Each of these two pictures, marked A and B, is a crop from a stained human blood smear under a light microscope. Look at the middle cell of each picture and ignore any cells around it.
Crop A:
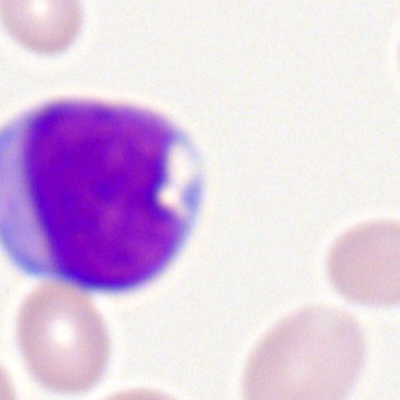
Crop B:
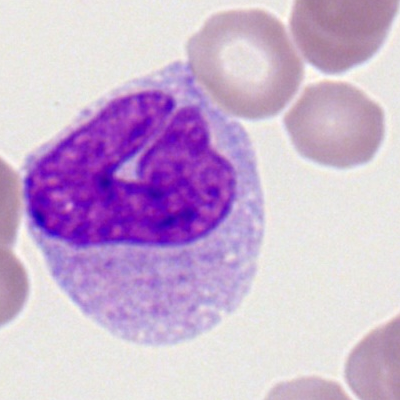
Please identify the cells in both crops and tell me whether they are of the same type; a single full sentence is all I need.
No, crop A is of a myeloblast, and crop B is of a monocyte.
